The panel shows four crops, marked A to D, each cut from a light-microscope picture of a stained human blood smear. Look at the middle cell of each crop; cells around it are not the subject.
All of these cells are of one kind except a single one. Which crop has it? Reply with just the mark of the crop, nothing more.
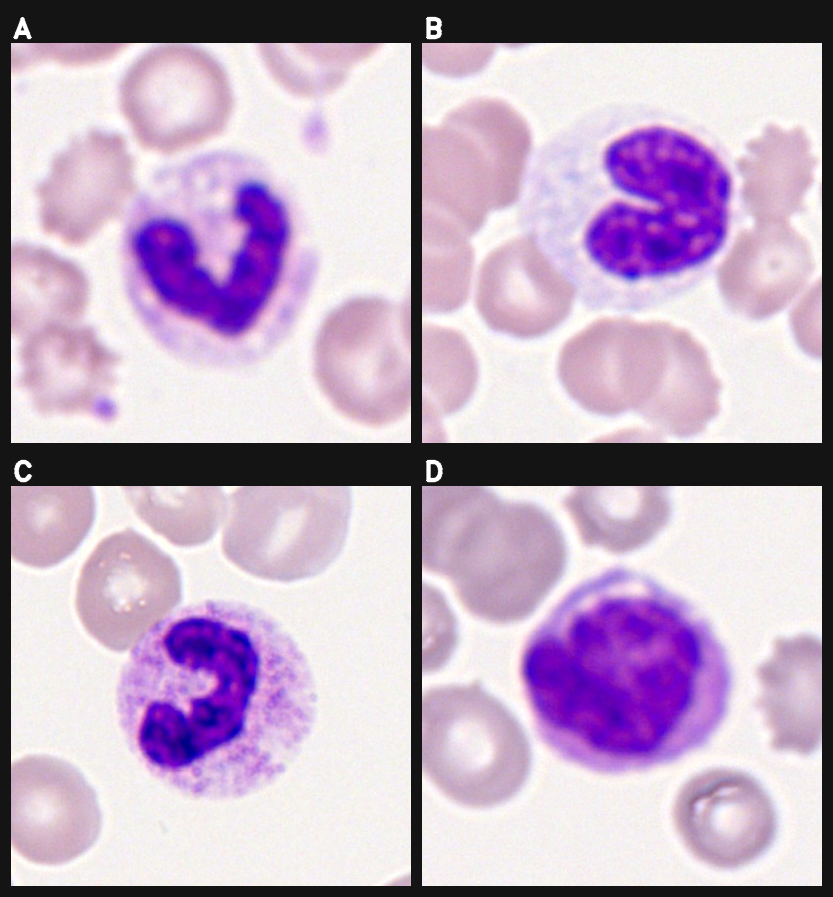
D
